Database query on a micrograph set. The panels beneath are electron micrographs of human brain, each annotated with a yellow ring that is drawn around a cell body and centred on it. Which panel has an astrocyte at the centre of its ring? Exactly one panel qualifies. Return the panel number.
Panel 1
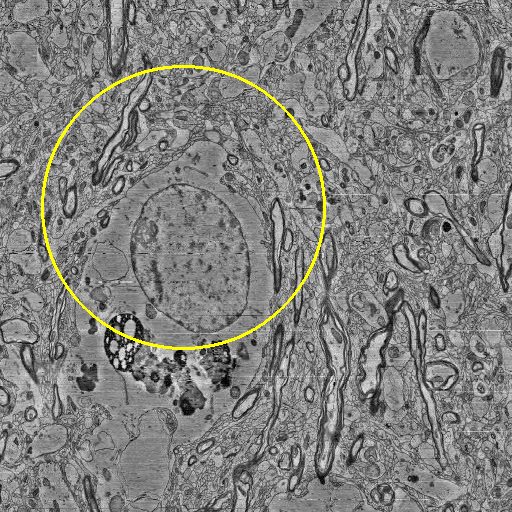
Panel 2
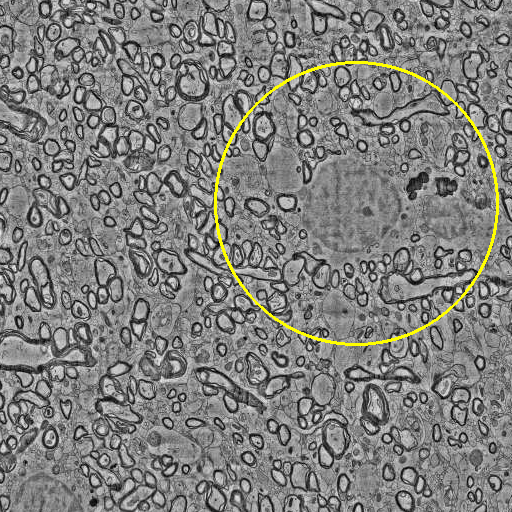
1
